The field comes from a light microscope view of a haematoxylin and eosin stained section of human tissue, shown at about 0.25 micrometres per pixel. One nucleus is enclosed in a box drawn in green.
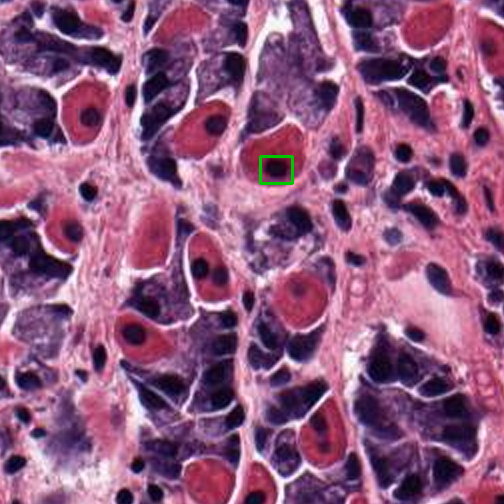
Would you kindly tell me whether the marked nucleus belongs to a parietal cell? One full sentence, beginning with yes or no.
Yes, the nucleus singled out in the image belongs to a parietal cell.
